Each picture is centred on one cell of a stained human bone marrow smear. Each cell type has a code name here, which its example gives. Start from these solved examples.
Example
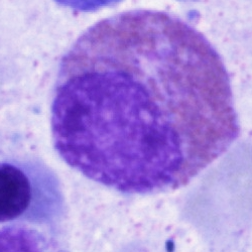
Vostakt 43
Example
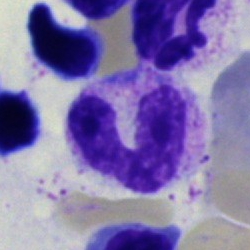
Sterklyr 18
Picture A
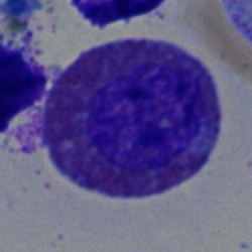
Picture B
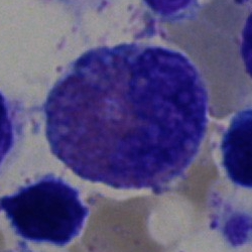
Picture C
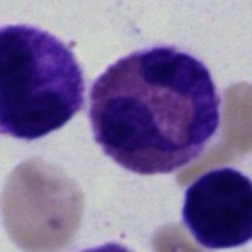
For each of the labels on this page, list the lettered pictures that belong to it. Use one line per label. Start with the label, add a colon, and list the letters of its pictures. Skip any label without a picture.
Vostakt 43: A, B, C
